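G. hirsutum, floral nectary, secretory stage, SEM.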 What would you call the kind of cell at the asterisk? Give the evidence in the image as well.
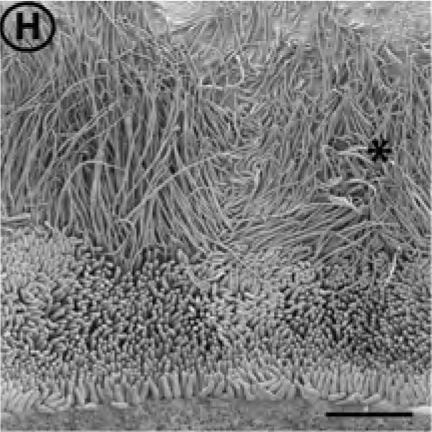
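Long, slender hair-like cells fill the upper part of the panel. A band of short, rounded protrusions lies below the hairs. The answer: stellate trichomes.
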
